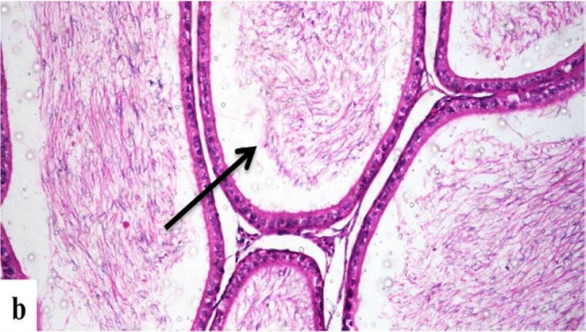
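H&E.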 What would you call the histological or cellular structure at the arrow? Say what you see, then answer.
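Tubules lined by a single regular row of tall epithelial cells. Wide lumens filled with pale fibrillar masses. Thin connective tissue between tubules. On this evidence: epididymal tubules.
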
